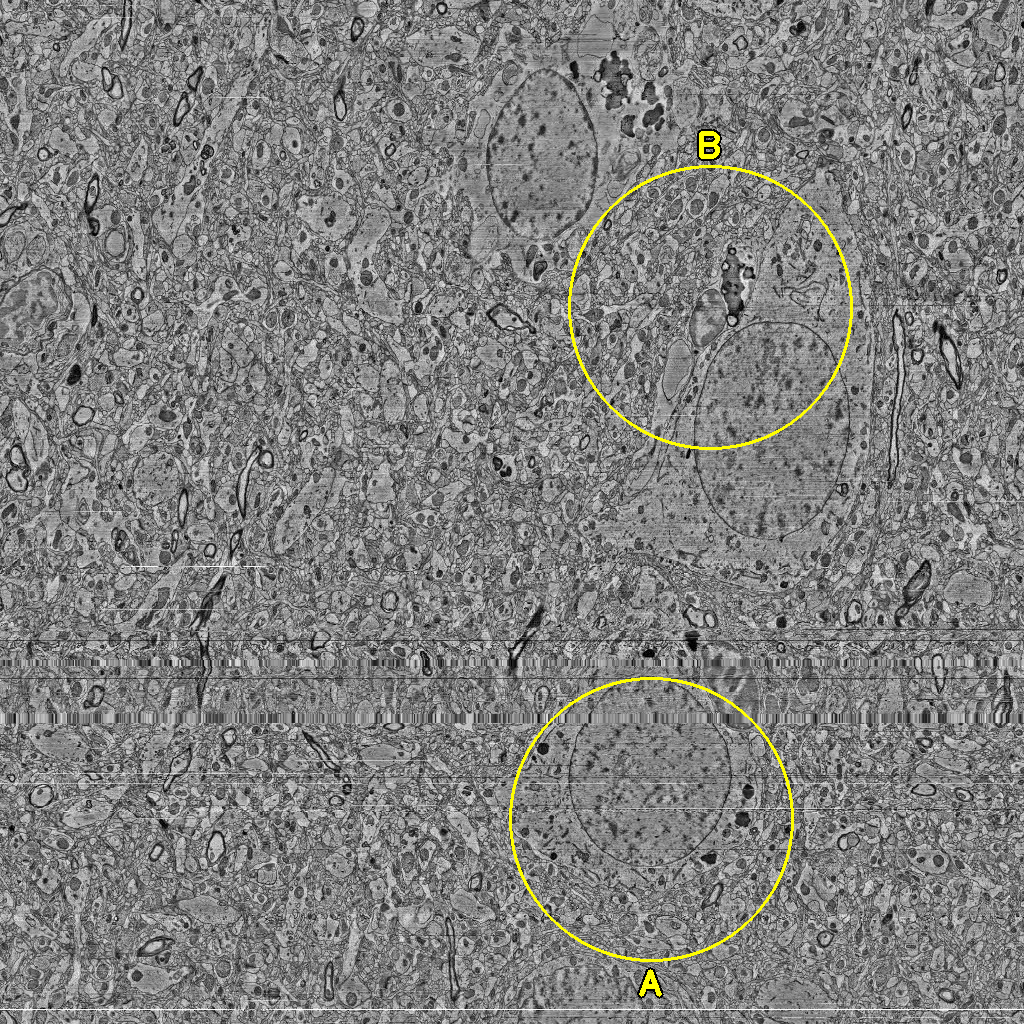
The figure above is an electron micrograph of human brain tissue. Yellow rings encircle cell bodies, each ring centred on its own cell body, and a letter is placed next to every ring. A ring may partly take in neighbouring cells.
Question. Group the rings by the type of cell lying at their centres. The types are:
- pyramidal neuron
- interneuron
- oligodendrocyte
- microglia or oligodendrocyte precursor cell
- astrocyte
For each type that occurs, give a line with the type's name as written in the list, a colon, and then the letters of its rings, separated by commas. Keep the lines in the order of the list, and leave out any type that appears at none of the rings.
pyramidal neuron: A
microglia or oligodendrocyte precursor cell: B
